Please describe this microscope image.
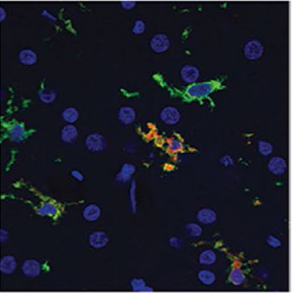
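Scattered among many round to oval blue nuclei lie a handful of small cells with irregular, branching processes stained green. Their cell bodies are small and hug an elongated or oval nucleus, and the thin processes spread in several directions. In several of these cells the green is joined by red, so that the bodies and proximal processes look yellow to orange where the two overlap. The great majority of nuclei around them belong to cells with no stain at all. The small size, sparse spacing and ramified shape fit microglia or macrophages.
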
